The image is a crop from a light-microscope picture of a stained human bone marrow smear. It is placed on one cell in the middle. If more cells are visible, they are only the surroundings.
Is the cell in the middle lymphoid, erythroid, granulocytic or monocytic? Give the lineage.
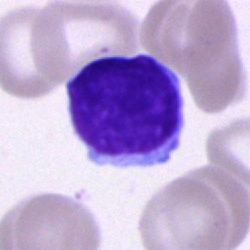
lymphoid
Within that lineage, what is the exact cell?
lymphocyte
